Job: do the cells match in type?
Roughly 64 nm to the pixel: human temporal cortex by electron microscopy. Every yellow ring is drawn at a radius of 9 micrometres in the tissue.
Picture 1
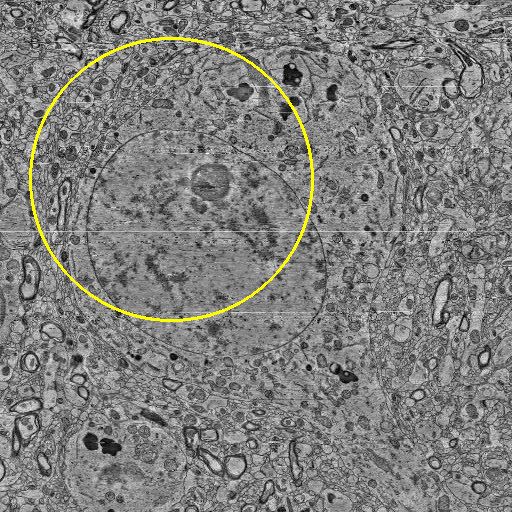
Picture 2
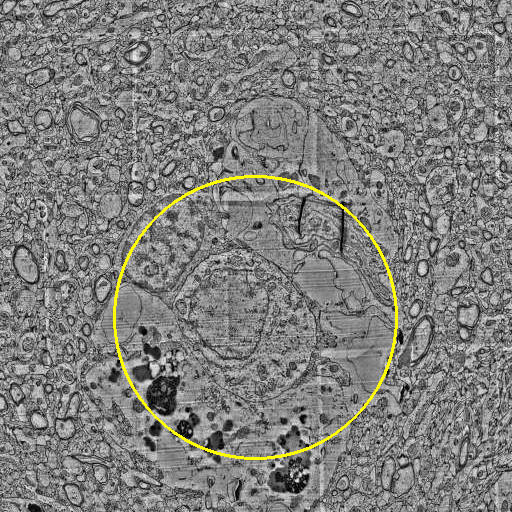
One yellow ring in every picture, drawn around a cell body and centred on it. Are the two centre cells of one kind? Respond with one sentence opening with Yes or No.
Yes, the ringed cells in the two pictures are of one and the same kind.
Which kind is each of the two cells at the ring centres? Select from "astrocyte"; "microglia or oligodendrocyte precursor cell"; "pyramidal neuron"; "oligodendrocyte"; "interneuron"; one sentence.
Each one of the two ringed cells is a pyramidal neuron.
